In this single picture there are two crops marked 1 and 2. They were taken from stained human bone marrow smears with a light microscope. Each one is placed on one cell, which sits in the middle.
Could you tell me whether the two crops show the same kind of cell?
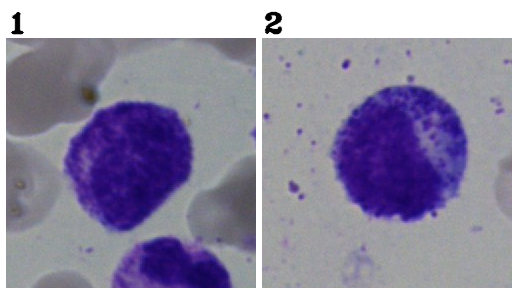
no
